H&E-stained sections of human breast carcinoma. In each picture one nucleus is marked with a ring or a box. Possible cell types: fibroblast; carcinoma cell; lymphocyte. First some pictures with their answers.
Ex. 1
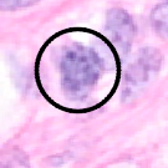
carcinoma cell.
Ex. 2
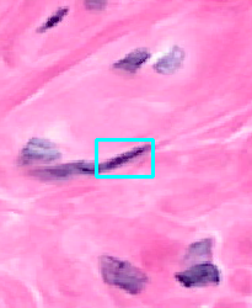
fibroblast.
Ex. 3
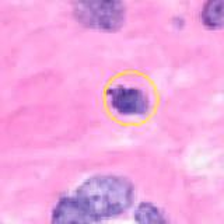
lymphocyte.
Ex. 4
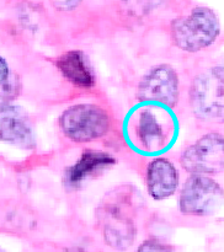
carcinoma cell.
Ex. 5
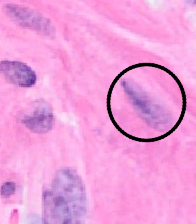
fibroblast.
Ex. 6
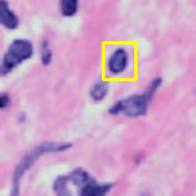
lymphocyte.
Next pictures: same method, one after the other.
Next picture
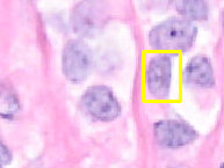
carcinoma cell.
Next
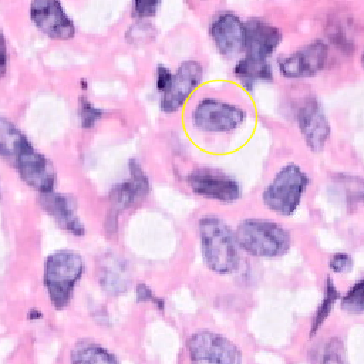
carcinoma cell.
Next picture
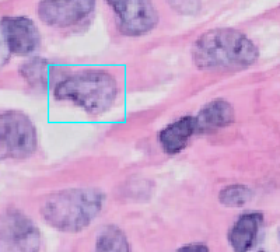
carcinoma cell.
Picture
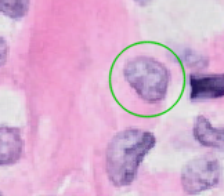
carcinoma cell.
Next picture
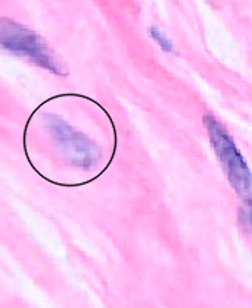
fibroblast.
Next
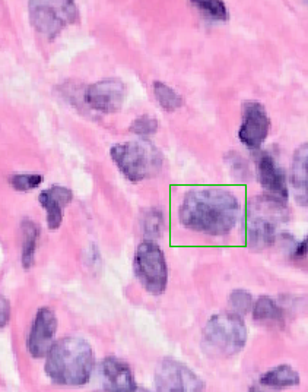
carcinoma cell.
